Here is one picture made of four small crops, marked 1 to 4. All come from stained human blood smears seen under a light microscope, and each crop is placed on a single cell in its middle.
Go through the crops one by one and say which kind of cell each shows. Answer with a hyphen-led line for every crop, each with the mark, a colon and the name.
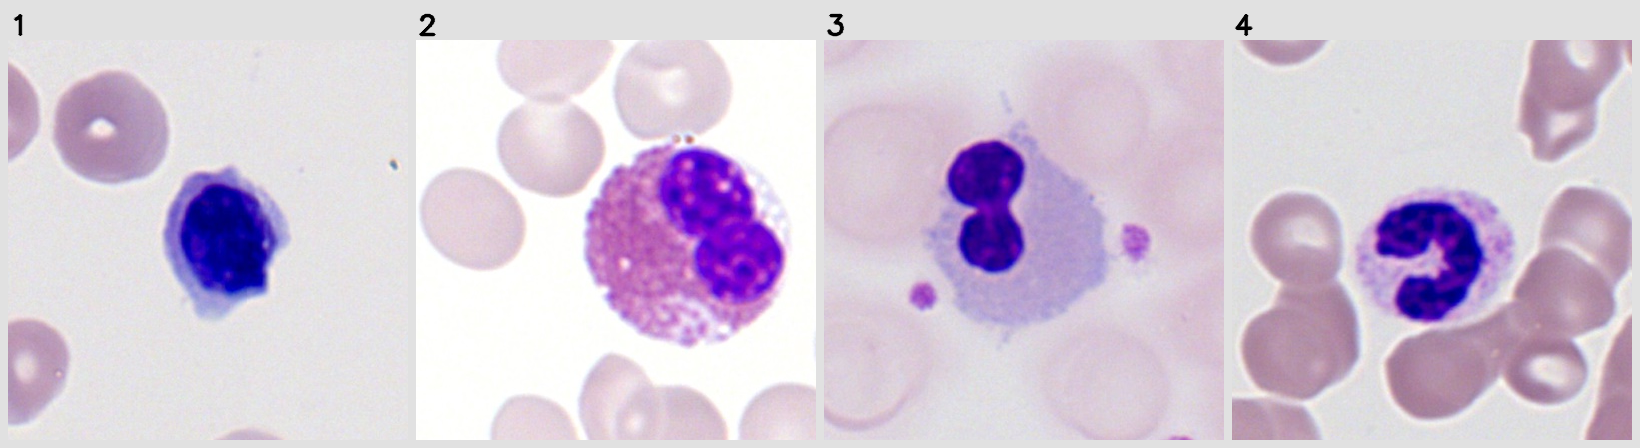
- 1: erythroblast
- 2: eosinophil
- 3: erythroblast
- 4: band neutrophil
